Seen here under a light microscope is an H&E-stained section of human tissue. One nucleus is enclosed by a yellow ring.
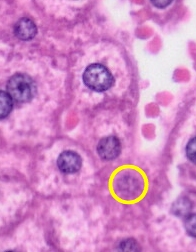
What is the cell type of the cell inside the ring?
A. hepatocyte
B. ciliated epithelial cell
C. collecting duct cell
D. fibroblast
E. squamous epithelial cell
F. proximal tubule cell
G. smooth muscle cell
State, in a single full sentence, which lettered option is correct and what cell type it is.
As the cell inside the ring is a hepatocyte, the correct choice is option A.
